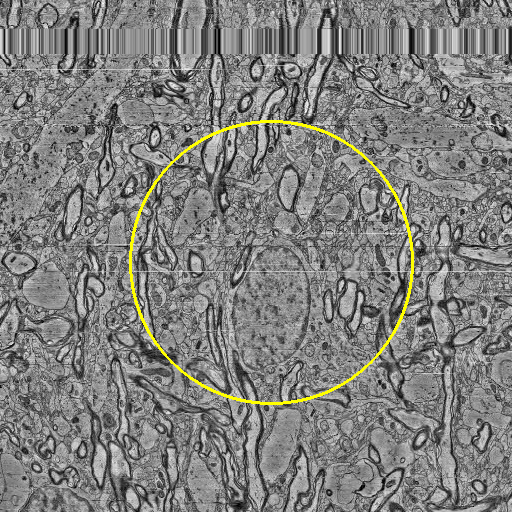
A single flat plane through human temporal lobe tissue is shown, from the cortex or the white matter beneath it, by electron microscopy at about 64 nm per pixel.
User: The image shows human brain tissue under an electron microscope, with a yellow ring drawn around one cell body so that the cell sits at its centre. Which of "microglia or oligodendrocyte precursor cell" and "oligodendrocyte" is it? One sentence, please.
At the centre of the ring sits a microglial cell or oligodendrocyte precursor cell.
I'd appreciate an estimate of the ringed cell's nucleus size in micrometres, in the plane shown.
The nucleus is about 8 micrometres in length and 5 in width, clearly longer than it is wide in this plane.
